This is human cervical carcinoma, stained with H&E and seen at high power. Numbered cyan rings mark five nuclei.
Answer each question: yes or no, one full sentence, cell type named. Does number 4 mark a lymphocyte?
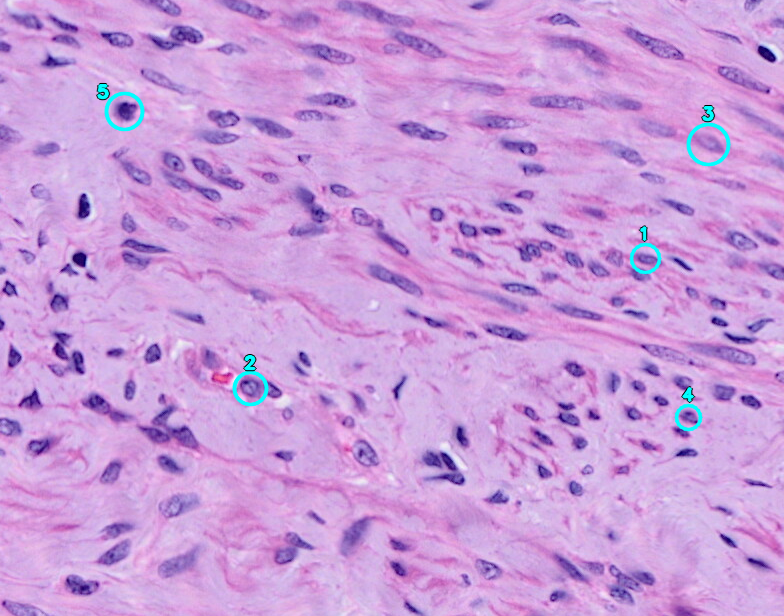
No, that is wrong: cell 4 is a smooth muscle cell, and not a lymphocyte.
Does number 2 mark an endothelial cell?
Yes, exactly, the cell numbered 2 is an endothelial cell.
